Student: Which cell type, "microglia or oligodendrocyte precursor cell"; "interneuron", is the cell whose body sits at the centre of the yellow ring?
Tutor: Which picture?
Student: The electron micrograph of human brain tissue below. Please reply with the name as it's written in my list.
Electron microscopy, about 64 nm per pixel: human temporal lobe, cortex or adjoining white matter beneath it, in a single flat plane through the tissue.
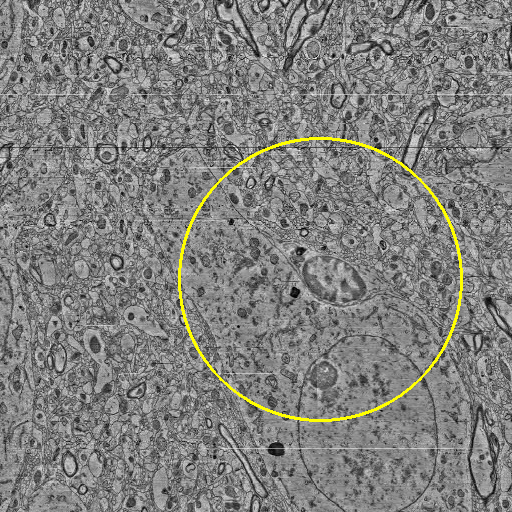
microglia or oligodendrocyte precursor cell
